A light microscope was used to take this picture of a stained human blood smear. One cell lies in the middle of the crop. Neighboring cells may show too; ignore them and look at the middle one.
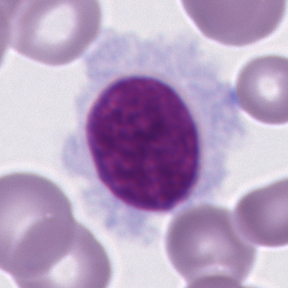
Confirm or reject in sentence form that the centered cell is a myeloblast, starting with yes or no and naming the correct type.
No, in the middle of the crop there is a hairy cell rather than a myeloblast.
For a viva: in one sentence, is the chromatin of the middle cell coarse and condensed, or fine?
Answer: the chromatin is fine and has no coarse clumps.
